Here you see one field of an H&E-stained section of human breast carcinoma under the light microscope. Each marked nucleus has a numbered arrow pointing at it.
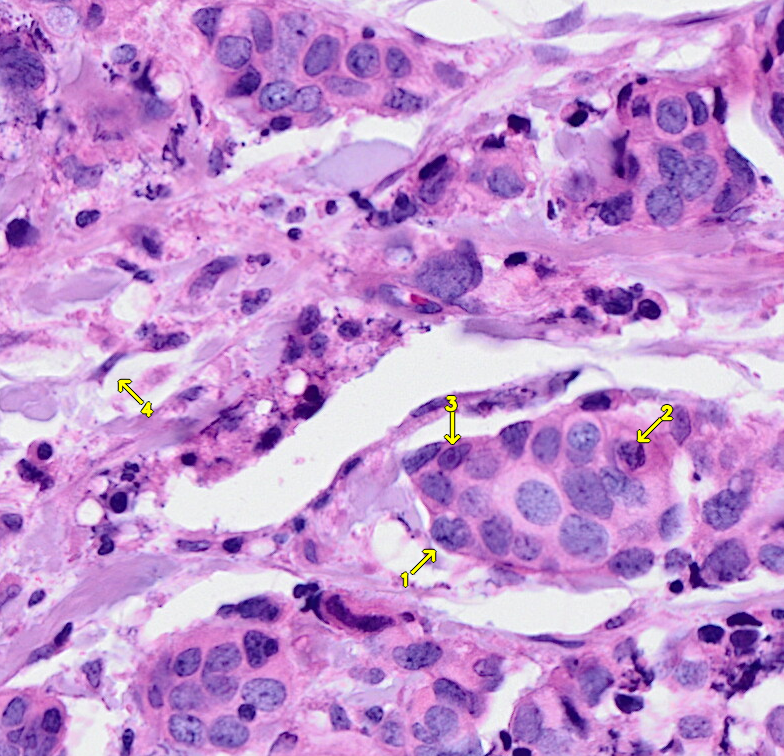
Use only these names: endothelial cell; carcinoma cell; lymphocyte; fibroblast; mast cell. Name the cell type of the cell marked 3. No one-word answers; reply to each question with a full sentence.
The cell pointed out by number 3 is a carcinoma cell.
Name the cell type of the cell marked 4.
The cell that bears the number 4 is a fibroblast.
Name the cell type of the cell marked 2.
As for number 2, that cell is a carcinoma cell.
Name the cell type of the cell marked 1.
Regarding cell 1, this one is a carcinoma cell.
